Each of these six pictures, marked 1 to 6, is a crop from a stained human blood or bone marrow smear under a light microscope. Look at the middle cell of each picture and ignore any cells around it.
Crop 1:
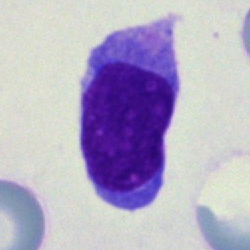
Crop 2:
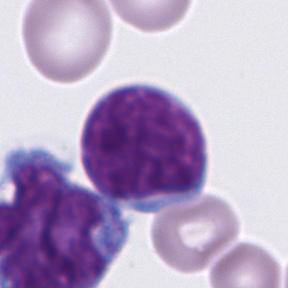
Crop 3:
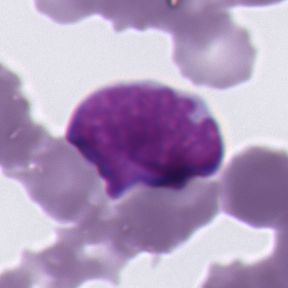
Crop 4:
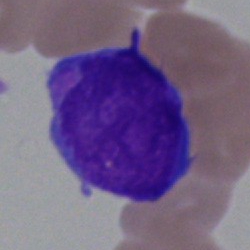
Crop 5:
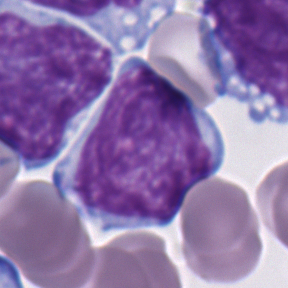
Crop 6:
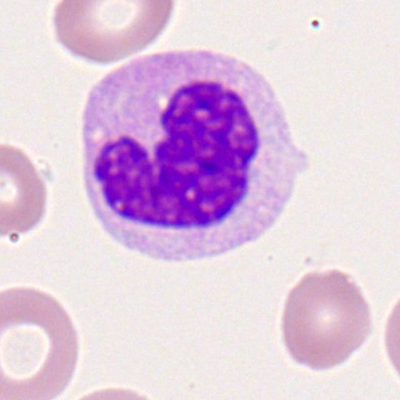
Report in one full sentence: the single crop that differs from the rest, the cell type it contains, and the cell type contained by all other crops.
All the crops show blasts, barring crop 6, which is a monocyte.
